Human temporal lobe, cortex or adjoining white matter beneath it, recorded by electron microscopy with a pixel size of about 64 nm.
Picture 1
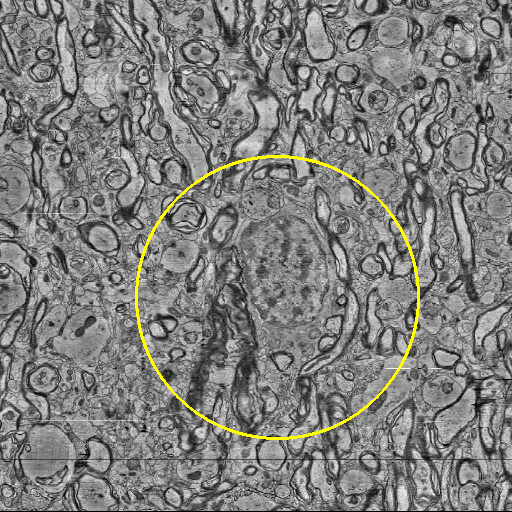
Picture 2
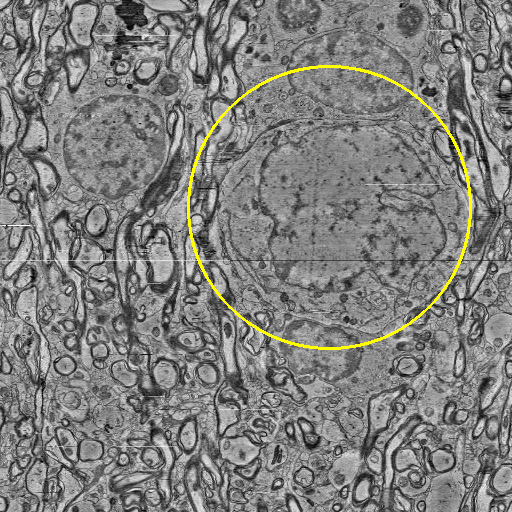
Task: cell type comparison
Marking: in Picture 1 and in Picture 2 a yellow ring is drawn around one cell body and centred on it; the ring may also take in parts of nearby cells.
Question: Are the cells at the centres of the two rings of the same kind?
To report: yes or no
no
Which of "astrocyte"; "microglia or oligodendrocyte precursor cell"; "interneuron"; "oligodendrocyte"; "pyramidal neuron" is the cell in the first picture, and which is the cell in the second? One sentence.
The two differ: the first cell is an oligodendrocyte and the second is an interneuron.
